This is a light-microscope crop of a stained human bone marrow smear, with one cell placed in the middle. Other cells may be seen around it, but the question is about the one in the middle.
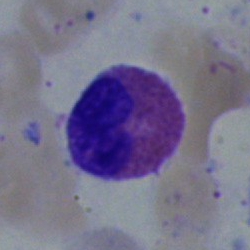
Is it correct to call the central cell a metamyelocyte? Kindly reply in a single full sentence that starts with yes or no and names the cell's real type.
No, the middle cell is actually an eosinophil rather than a metamyelocyte.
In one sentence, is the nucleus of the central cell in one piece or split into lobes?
There is one compact nucleus, and its shape is round, oval or kidney-like.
